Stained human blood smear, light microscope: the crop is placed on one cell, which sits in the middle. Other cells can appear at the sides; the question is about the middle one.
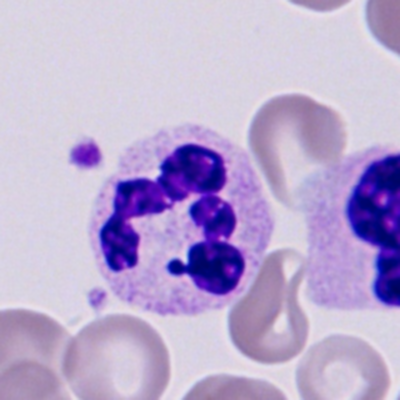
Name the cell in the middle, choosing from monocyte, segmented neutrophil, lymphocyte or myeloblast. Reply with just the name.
segmented neutrophil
